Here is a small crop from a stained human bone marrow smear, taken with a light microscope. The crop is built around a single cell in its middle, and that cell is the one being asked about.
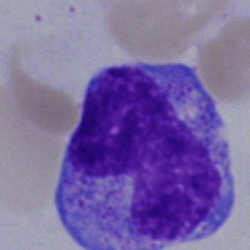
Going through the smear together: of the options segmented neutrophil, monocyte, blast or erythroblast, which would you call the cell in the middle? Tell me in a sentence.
The cell positioned in the middle of the field is a monocyte.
